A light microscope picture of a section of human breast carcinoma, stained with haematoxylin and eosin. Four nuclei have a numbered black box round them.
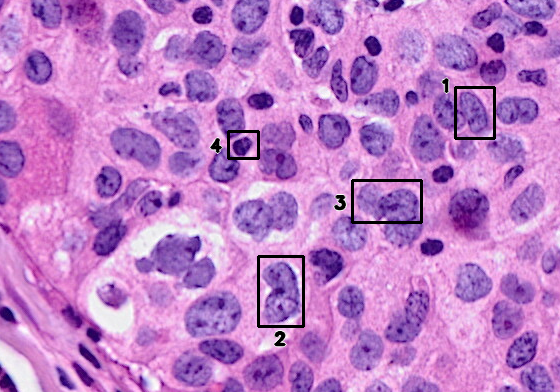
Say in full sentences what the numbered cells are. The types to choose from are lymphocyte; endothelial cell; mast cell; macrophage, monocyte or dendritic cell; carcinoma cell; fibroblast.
Cell 1 is a carcinoma cell, cell 2 is a carcinoma cell, cell 3 is a carcinoma cell and cell 4 is a lymphocyte.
